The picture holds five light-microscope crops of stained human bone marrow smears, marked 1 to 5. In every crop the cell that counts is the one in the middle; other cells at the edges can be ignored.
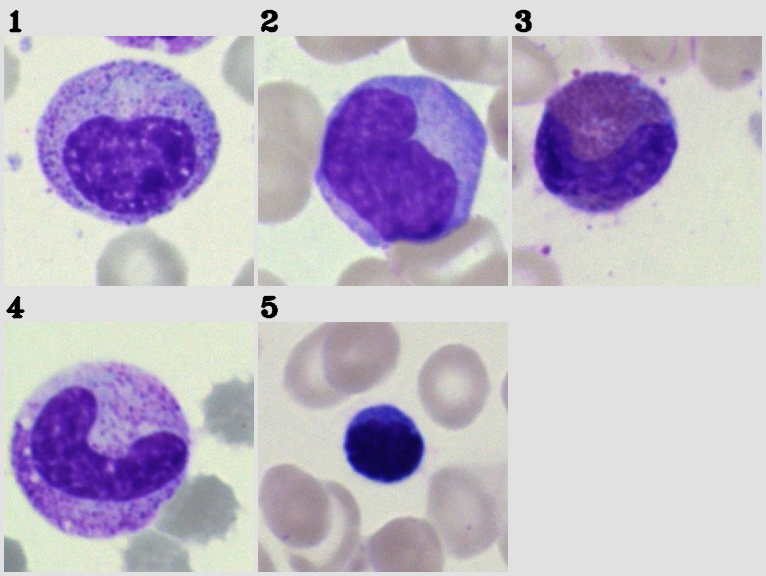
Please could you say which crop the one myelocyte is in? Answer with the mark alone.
1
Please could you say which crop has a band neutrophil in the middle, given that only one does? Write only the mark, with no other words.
4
